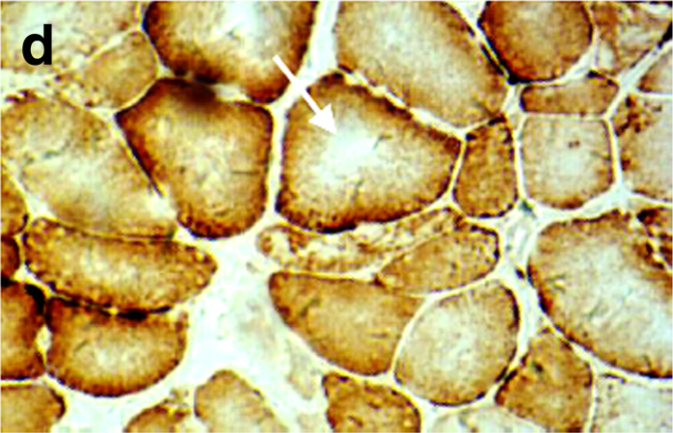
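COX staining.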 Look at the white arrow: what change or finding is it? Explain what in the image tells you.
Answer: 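Core-like lesions. The fiber at the white arrow has a pale unstained central area. The brown stain remains at the rim of that fiber.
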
